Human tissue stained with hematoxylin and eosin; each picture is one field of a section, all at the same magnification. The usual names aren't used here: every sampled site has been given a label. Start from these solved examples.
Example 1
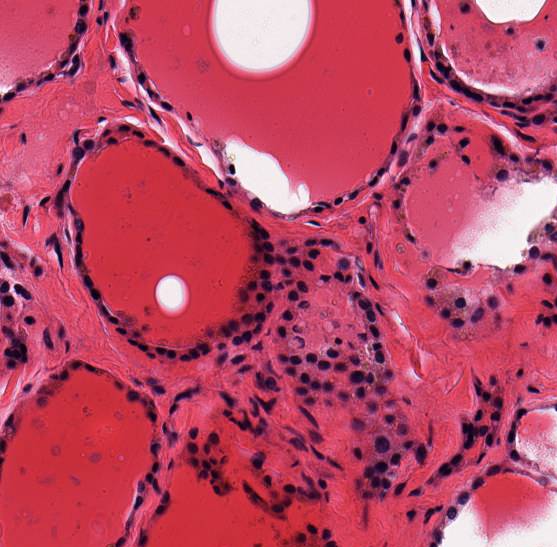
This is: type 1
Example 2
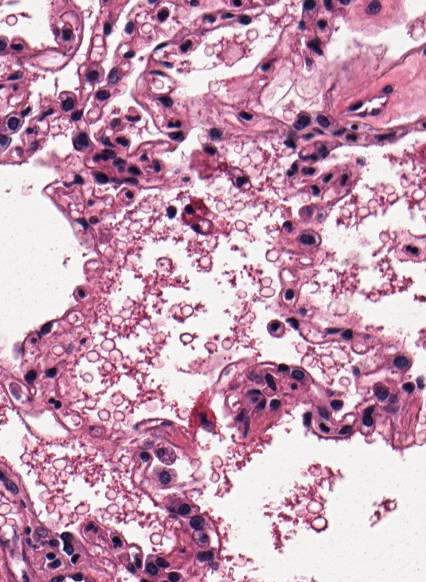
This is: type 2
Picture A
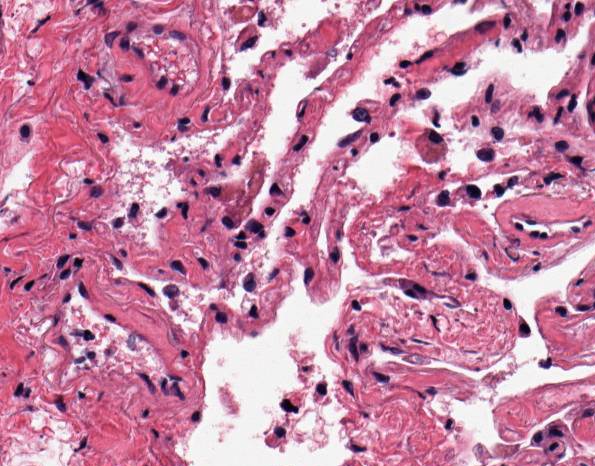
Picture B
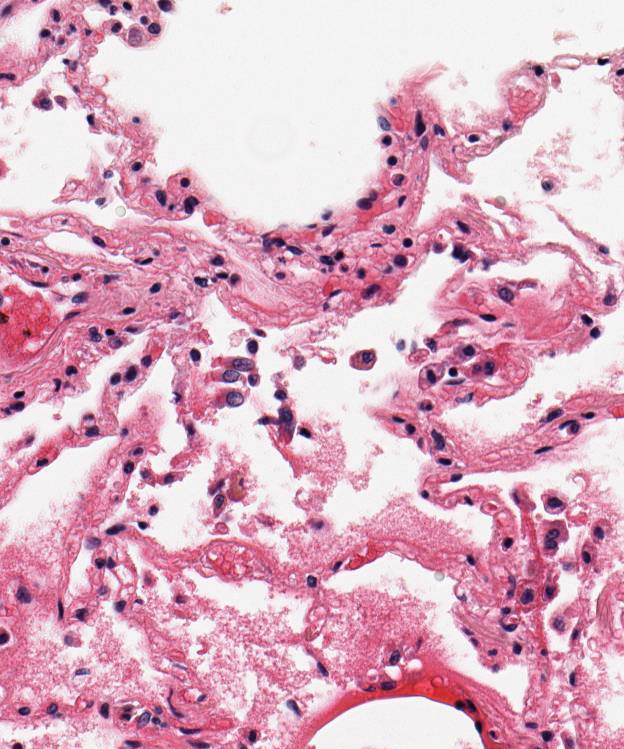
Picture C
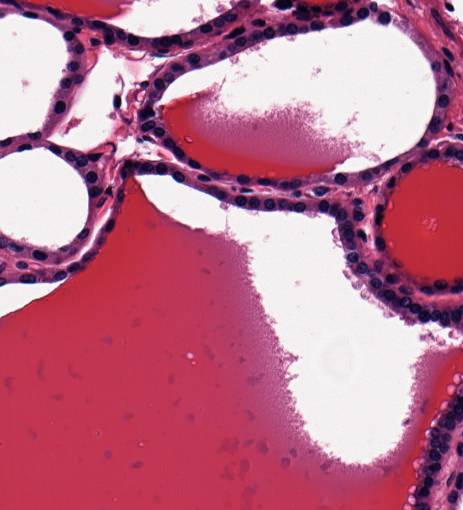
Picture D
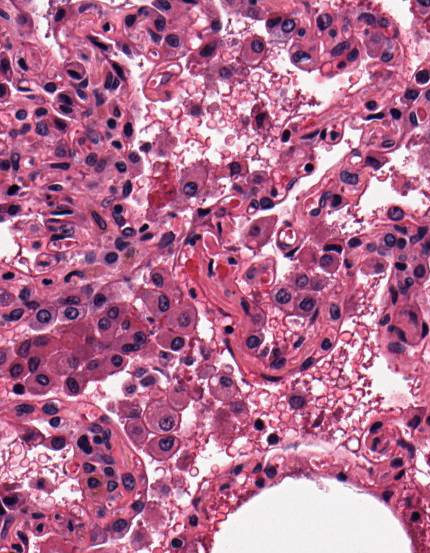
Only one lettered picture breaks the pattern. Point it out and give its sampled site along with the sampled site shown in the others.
C differs and shows type 1; the others show type 2.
